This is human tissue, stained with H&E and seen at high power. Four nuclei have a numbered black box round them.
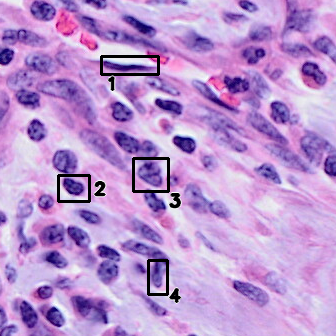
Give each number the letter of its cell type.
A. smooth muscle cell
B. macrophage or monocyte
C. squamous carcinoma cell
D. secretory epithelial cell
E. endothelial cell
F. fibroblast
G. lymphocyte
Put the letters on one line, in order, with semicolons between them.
E; G; G; G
